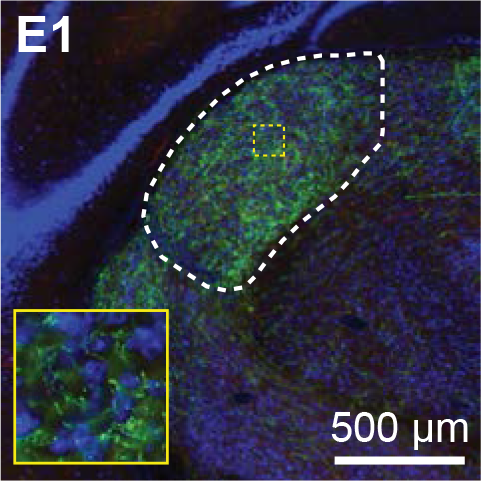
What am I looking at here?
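Coronal section of the dorsal lateral geniculate nucleus in the thalamus, filled with a dense meshwork of thin green axon fibers. The outlined oval nucleus lies directly beneath a curved band of tightly packed blue-stained cells. In the enlarged inset, fine green fibers wind between rounded blue-stained cell bodies. Fiber density falls off outside the outlined region.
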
